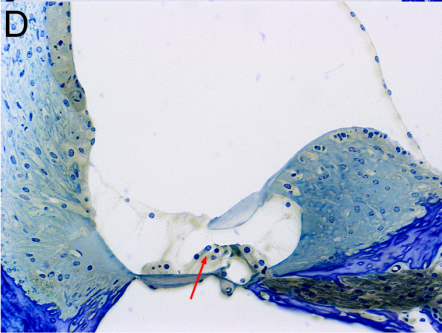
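A turn of the cochlear duct is seen, with a thick pale-blue tissue wall on the left and a dense cushion of tissue with scattered nuclei on the right, from which a pale acellular flap extends over the floor. The floor carries a small raised epithelium with a cluster of dark-stained nuclei where the red arrow points. A thin membrane with sparse flat nuclei roofs the compartment above.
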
